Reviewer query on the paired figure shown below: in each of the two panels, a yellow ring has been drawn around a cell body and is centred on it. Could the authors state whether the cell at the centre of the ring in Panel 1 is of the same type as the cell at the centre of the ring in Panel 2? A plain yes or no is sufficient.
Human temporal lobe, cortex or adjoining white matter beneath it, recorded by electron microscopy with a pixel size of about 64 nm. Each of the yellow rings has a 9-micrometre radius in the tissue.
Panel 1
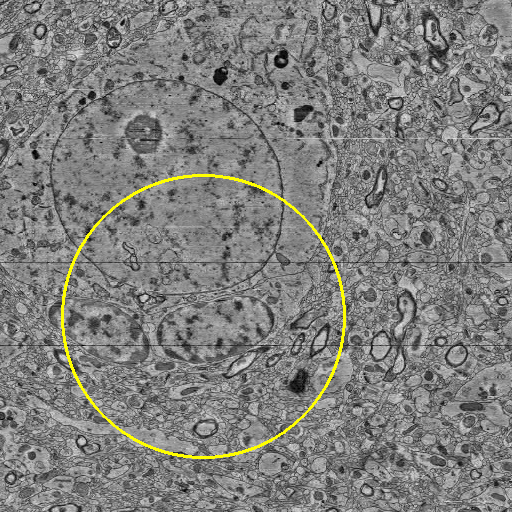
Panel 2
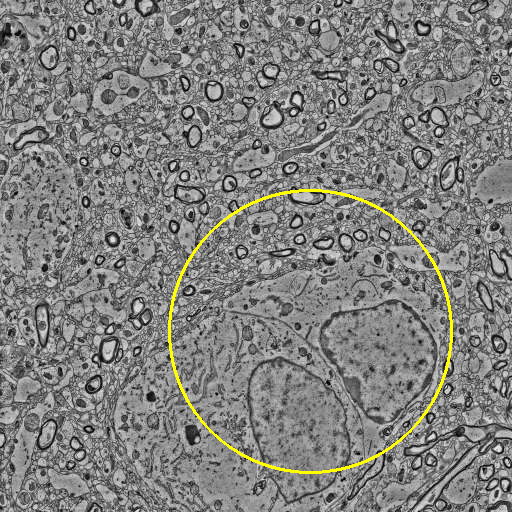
yes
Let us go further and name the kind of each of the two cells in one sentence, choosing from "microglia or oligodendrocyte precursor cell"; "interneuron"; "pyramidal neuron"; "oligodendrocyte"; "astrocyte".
Each of the two pictures has a microglial cell or oligodendrocyte precursor cell at the ring centre.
